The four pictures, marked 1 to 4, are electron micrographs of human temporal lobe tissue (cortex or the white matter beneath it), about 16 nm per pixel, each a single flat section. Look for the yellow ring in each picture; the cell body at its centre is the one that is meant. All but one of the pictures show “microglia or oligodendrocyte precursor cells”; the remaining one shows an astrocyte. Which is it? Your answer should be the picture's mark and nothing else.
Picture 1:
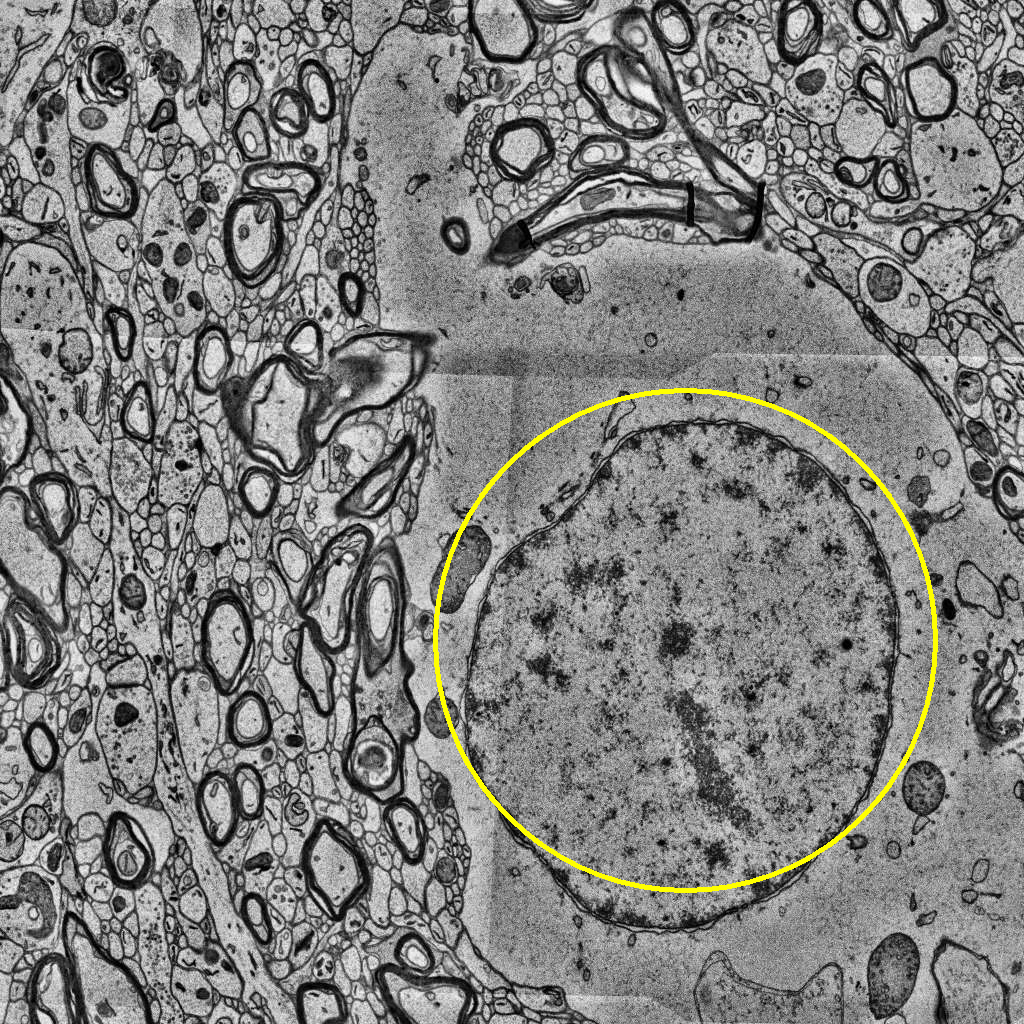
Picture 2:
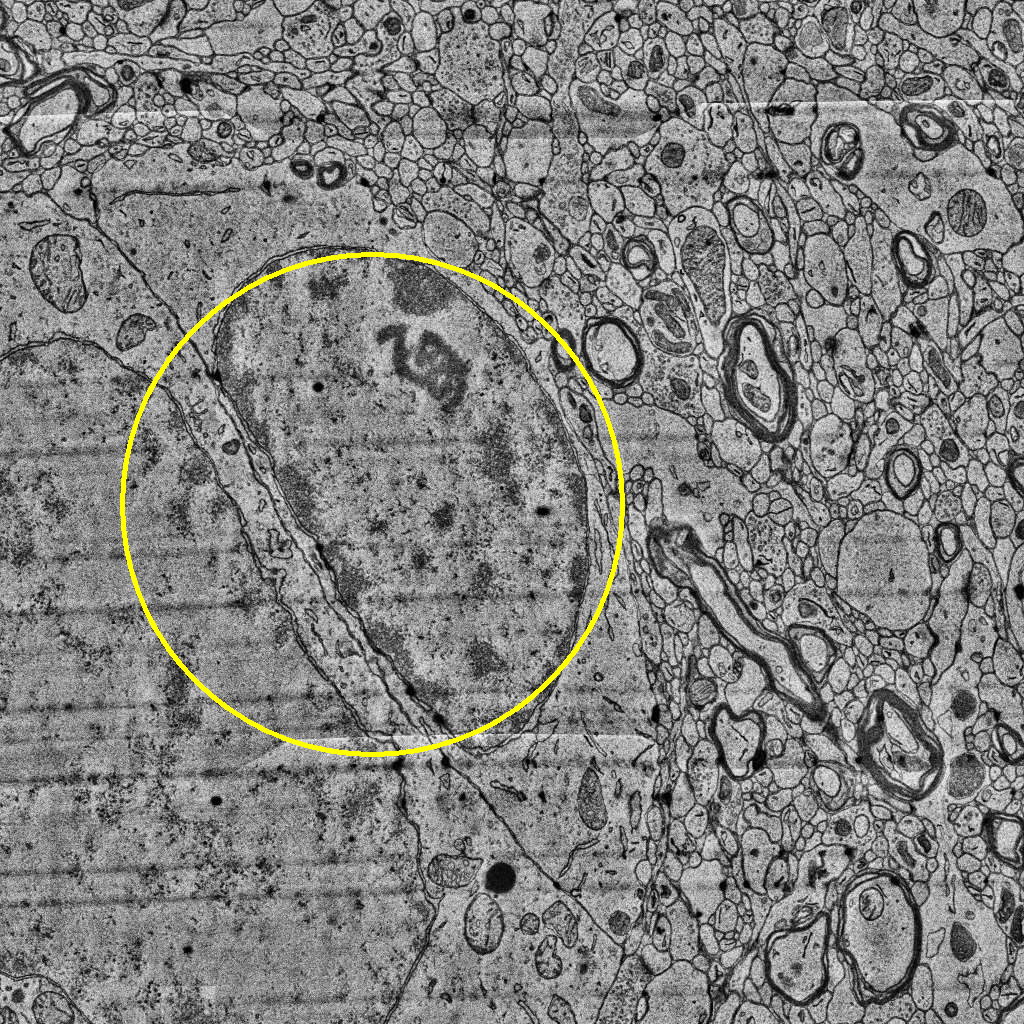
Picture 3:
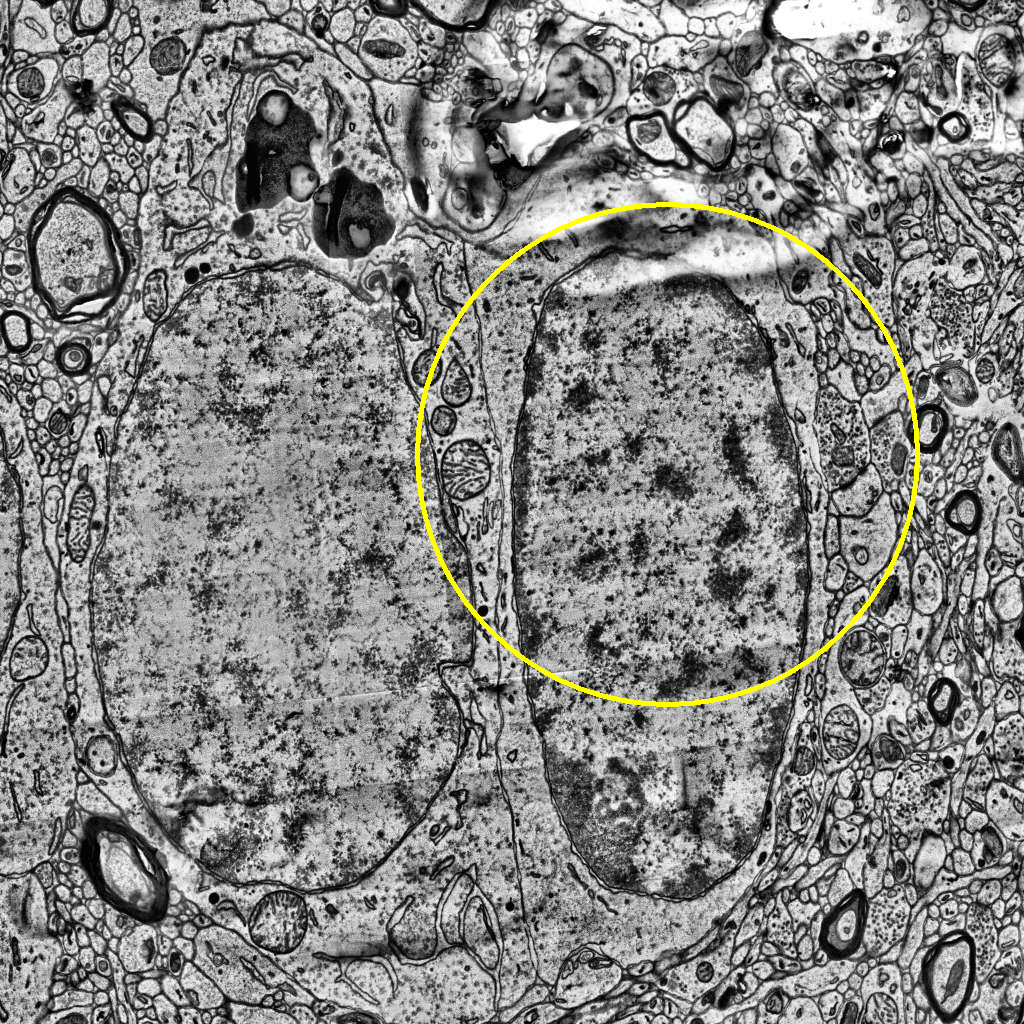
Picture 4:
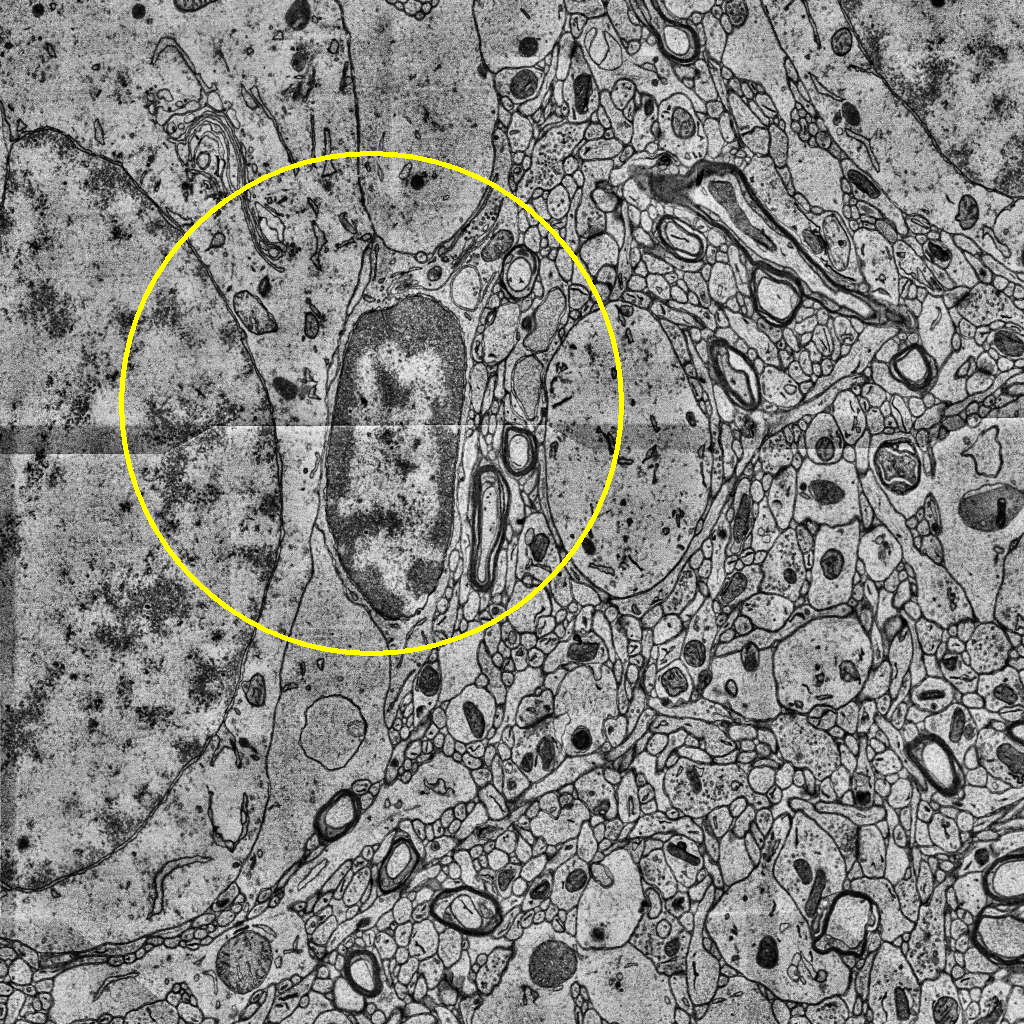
1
